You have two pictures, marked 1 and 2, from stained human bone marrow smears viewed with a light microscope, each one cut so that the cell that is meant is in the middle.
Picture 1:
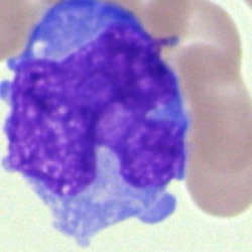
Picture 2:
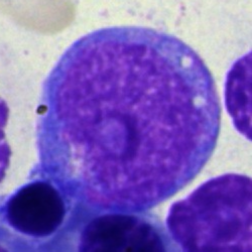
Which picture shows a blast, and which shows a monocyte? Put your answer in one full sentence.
In picture 1 the cell is a monocyte; in picture 2, a blast.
